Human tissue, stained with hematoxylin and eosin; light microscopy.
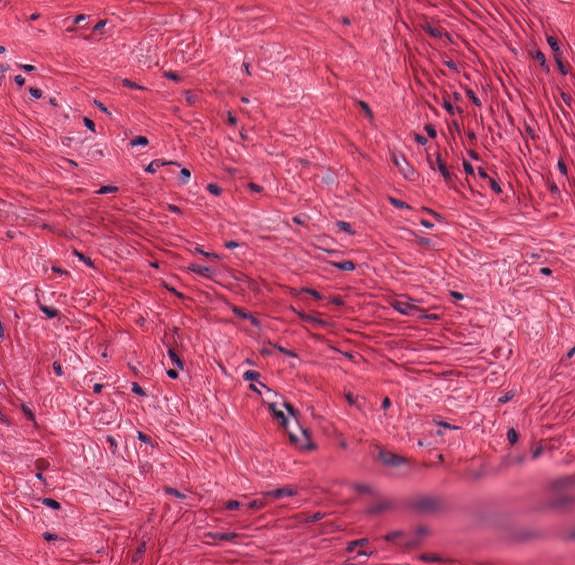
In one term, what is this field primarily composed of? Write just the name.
fibromuscular stroma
